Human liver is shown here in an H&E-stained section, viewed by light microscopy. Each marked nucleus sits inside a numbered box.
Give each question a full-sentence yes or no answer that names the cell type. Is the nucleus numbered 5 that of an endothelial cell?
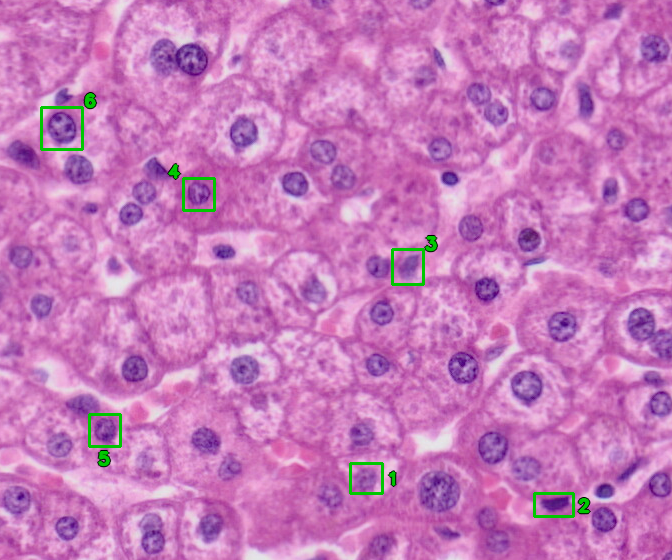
No, the nucleus numbered 5 belongs to a hepatocyte, not an endothelial cell.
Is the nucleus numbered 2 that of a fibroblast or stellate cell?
Yes. The cell carrying number 2 is a fibroblast or stellate cell.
